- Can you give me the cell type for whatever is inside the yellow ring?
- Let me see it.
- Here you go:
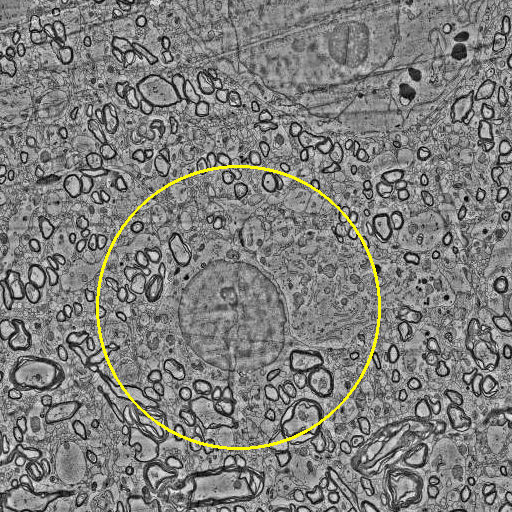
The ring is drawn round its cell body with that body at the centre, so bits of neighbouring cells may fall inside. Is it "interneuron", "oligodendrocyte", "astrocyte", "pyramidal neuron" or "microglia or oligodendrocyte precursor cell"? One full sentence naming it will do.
The cell body in the middle of the ring in this picture belongs to an oligodendrocyte.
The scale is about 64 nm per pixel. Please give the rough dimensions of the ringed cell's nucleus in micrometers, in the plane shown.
In this plane, the nucleus of the cell at the centre of the ring is about 7 micrometres across.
